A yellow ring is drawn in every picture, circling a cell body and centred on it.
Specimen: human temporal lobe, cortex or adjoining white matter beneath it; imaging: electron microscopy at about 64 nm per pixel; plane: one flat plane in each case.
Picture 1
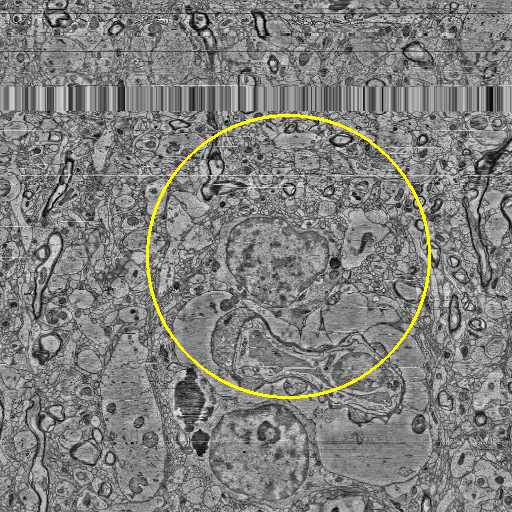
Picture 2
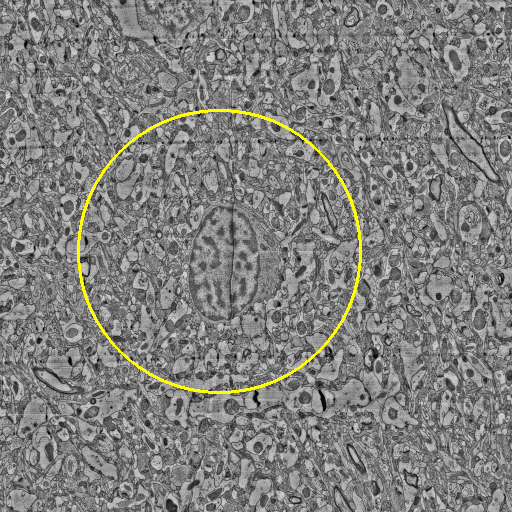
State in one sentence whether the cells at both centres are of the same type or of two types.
The cells at the two ring centres, one per picture, are of the same type.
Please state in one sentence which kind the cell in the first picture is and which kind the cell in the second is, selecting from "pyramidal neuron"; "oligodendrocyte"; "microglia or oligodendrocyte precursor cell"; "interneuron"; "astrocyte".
The second cell is an oligodendrocyte, just as the first is.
